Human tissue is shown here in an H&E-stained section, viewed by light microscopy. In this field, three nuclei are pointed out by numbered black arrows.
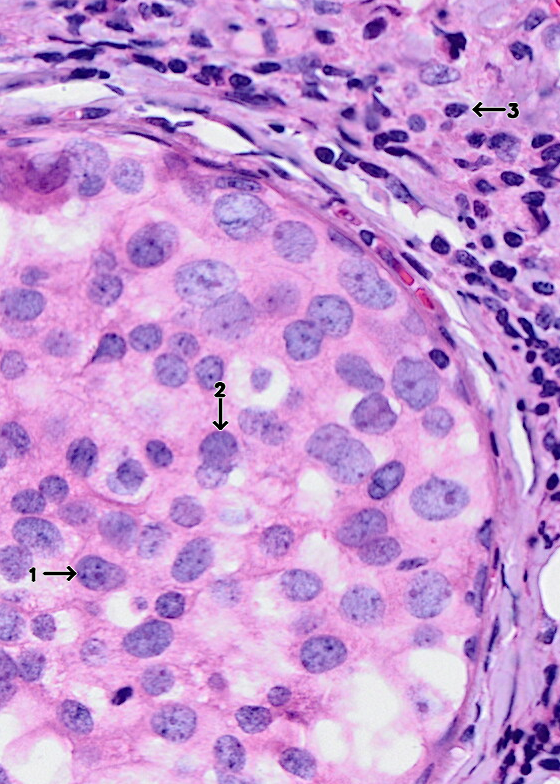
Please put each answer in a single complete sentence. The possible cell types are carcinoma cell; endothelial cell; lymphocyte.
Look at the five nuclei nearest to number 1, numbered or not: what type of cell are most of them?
The majority of the five nuclei closest to number 1 belong to carcinoma cells.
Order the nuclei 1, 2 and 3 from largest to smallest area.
Largest first, the order by area is 1, 2, 3.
